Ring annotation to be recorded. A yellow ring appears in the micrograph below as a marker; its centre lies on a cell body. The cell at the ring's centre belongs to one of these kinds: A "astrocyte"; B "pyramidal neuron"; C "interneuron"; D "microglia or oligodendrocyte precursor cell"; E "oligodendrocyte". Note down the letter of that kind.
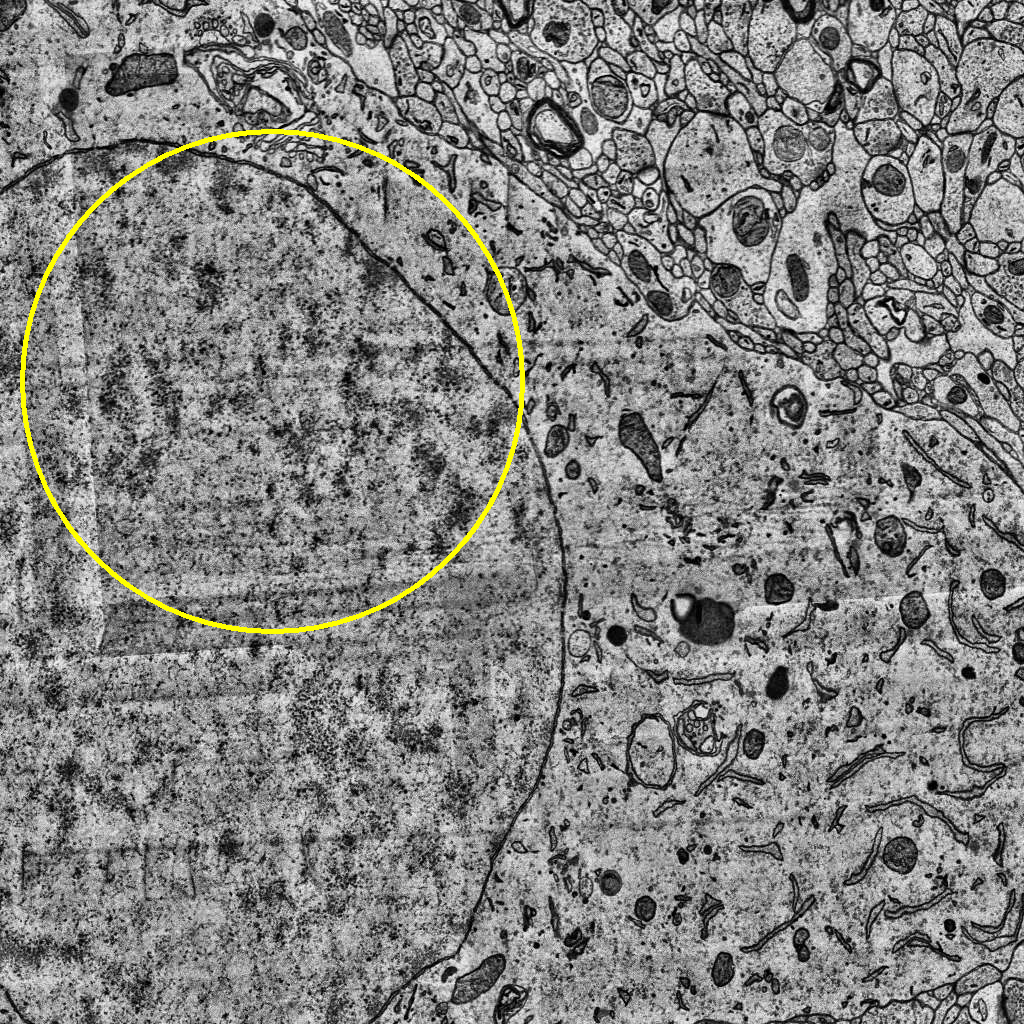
B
